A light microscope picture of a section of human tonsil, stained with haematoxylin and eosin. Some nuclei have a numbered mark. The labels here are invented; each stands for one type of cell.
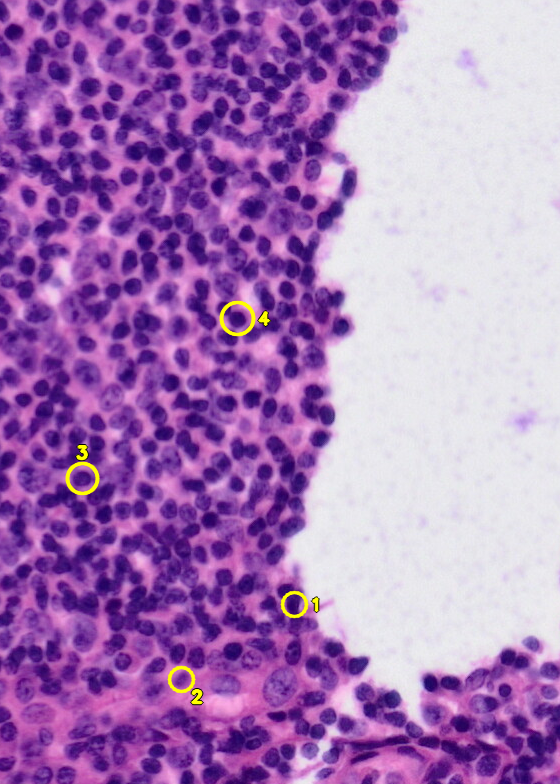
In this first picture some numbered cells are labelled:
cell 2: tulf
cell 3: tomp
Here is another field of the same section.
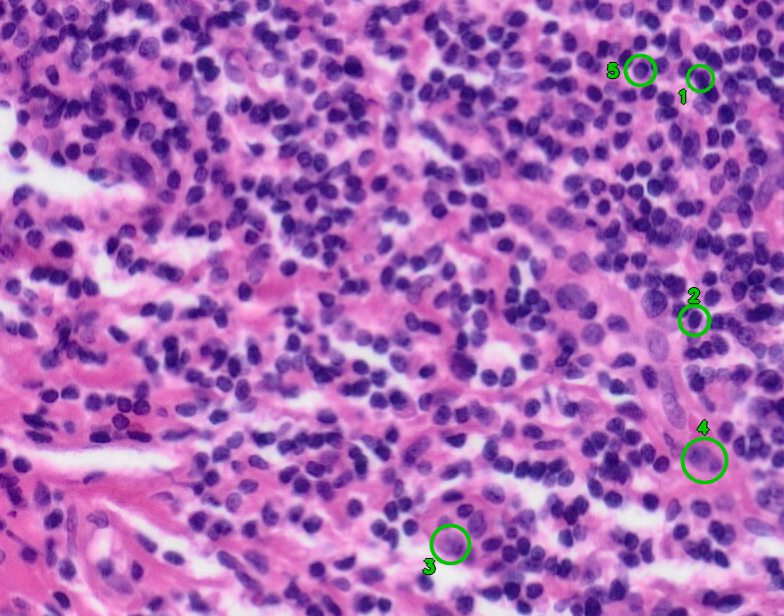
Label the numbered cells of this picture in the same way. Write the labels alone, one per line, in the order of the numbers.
tomp
tomp
tulf
tulf
tomp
